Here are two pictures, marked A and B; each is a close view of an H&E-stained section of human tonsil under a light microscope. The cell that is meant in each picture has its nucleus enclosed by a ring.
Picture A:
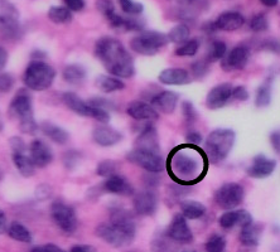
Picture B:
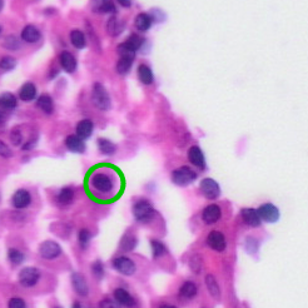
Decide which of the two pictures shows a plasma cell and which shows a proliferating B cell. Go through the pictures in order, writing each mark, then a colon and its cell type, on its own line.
A: proliferating B cell
B: plasma cell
